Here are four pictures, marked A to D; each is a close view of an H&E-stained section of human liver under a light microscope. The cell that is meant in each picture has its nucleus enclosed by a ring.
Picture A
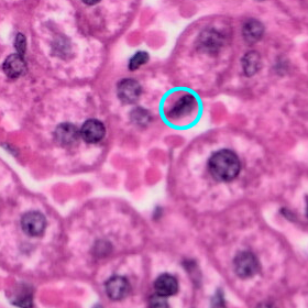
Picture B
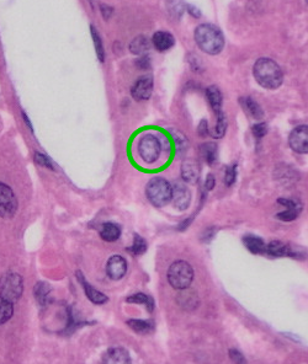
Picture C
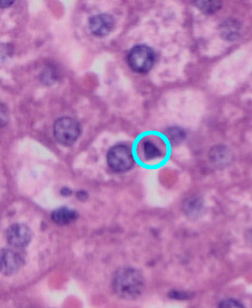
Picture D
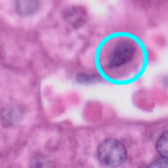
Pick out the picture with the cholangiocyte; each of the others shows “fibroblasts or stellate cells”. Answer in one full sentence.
The picture with the cholangiocyte is B.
